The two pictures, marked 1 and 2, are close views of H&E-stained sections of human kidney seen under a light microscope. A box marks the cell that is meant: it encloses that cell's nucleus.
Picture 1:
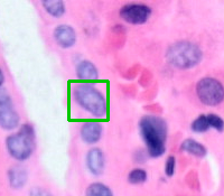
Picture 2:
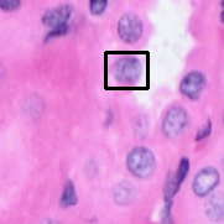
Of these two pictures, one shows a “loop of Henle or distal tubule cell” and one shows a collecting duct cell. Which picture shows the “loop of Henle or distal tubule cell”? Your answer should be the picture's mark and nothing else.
2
